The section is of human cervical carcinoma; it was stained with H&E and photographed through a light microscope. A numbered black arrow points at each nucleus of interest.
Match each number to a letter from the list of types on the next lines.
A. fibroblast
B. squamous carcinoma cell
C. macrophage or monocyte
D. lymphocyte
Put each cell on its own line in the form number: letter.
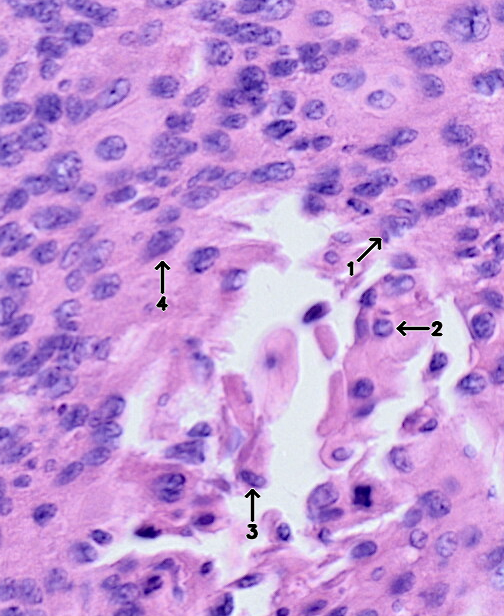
1: B
2: B
3: C
4: B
